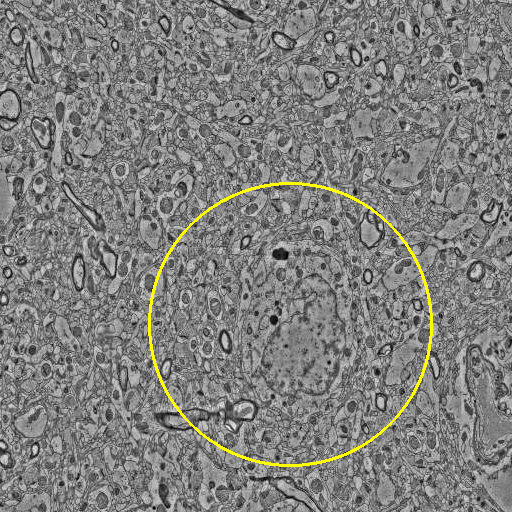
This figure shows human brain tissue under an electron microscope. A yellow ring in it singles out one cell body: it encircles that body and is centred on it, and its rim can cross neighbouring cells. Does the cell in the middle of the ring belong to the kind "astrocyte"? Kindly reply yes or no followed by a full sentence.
No, the cell centred in the figure's ring belongs to a different kind from the one asked.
